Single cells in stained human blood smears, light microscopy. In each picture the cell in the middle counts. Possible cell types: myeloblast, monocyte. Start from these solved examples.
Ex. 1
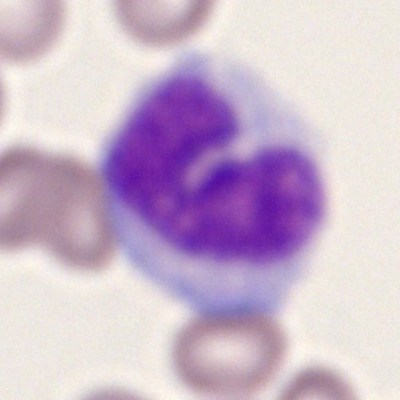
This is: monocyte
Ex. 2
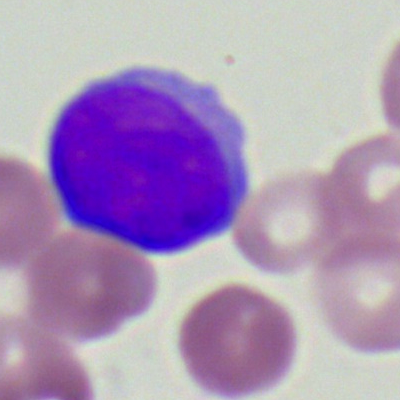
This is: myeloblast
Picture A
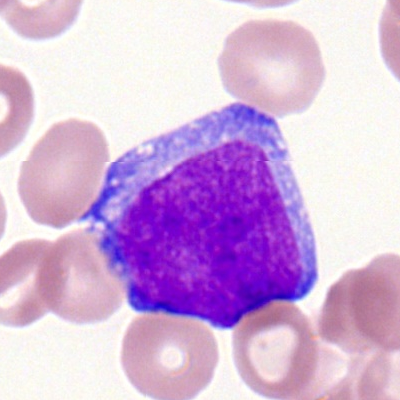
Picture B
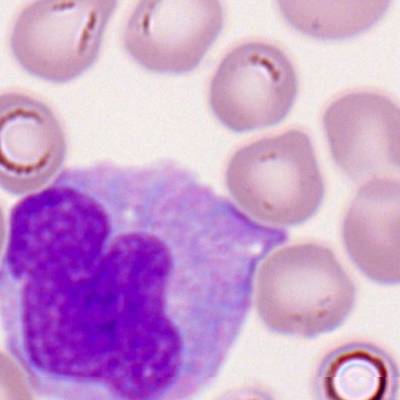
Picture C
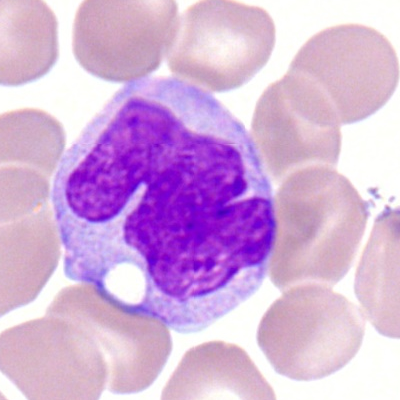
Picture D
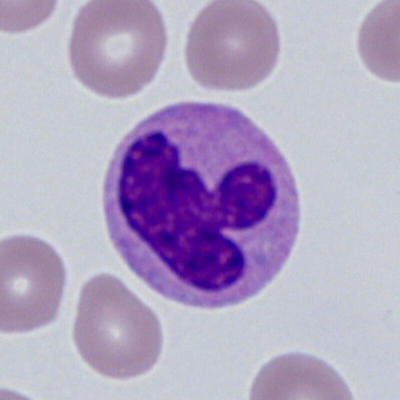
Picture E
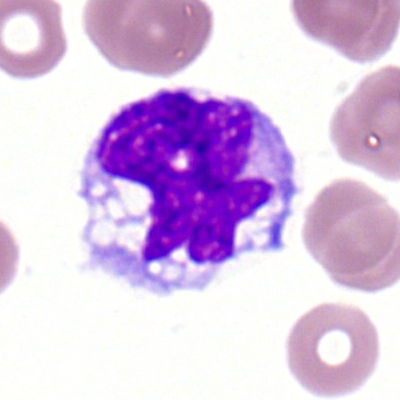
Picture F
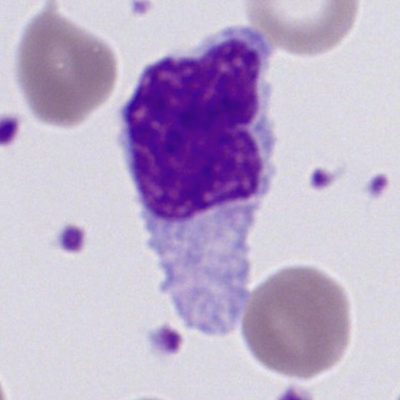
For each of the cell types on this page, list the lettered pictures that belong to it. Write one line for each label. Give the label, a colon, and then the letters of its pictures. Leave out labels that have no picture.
myeloblast: A
monocyte: B, C, D, E, F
